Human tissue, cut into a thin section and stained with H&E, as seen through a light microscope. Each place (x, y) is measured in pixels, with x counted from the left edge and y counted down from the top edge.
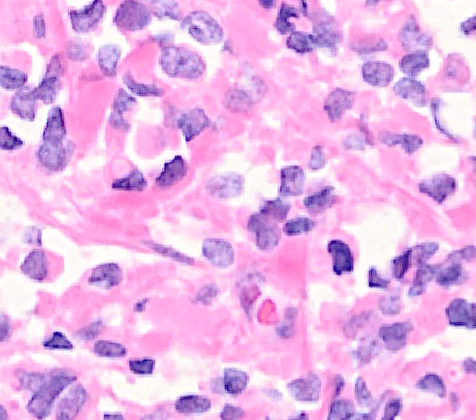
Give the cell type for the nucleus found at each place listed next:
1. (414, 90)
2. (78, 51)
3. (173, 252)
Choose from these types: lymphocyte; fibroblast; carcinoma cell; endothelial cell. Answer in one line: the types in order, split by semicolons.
carcinoma cell; carcinoma cell; fibroblast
